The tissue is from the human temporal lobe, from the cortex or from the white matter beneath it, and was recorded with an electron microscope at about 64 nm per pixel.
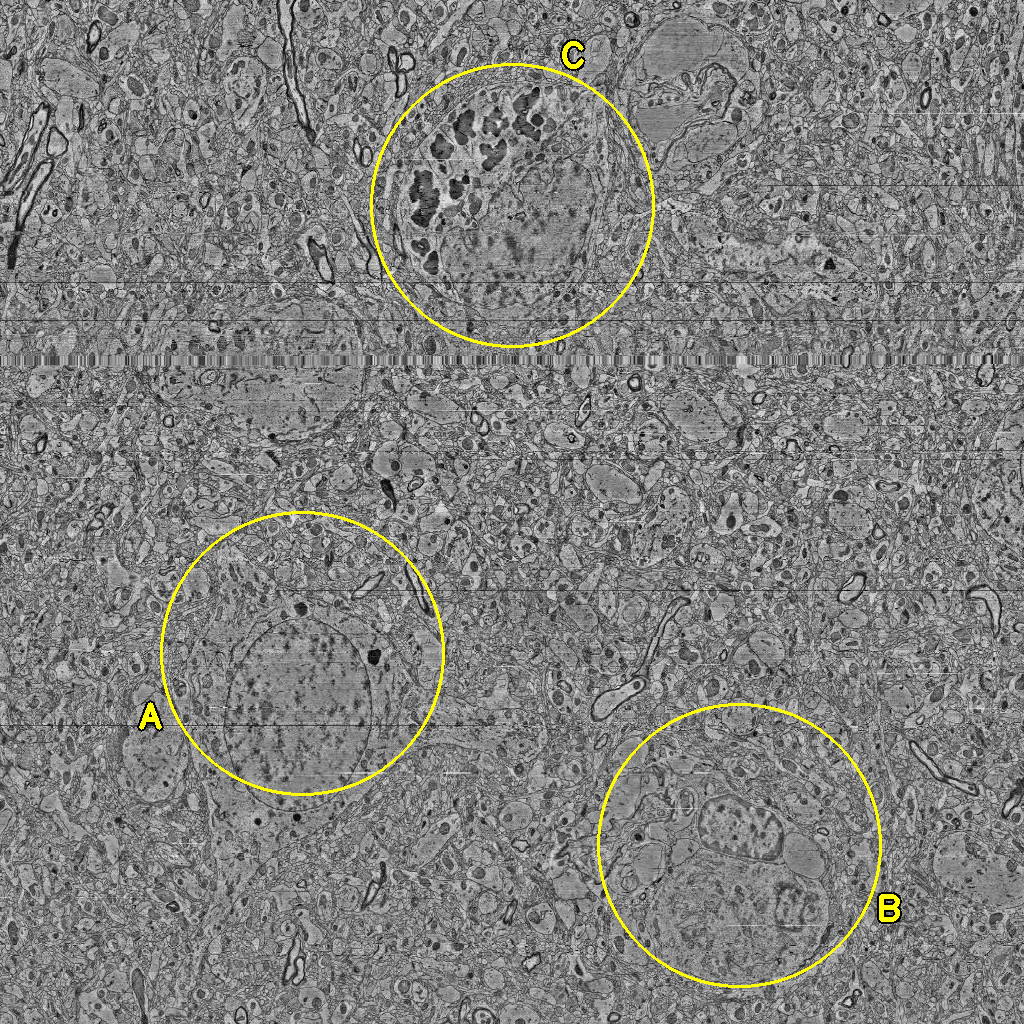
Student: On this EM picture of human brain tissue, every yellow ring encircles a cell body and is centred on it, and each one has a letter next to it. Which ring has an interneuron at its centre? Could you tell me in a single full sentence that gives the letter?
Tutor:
Ring C is the one drawn around the cell you are asking about.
